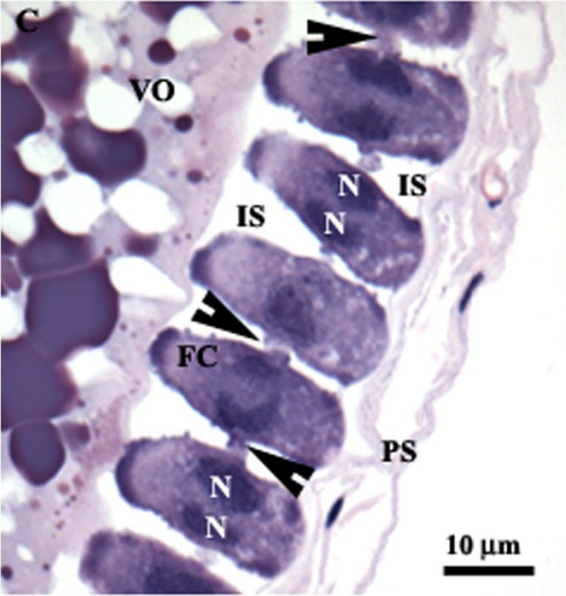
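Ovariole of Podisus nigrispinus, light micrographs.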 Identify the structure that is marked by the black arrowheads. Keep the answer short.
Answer: Points of cell-cell contact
